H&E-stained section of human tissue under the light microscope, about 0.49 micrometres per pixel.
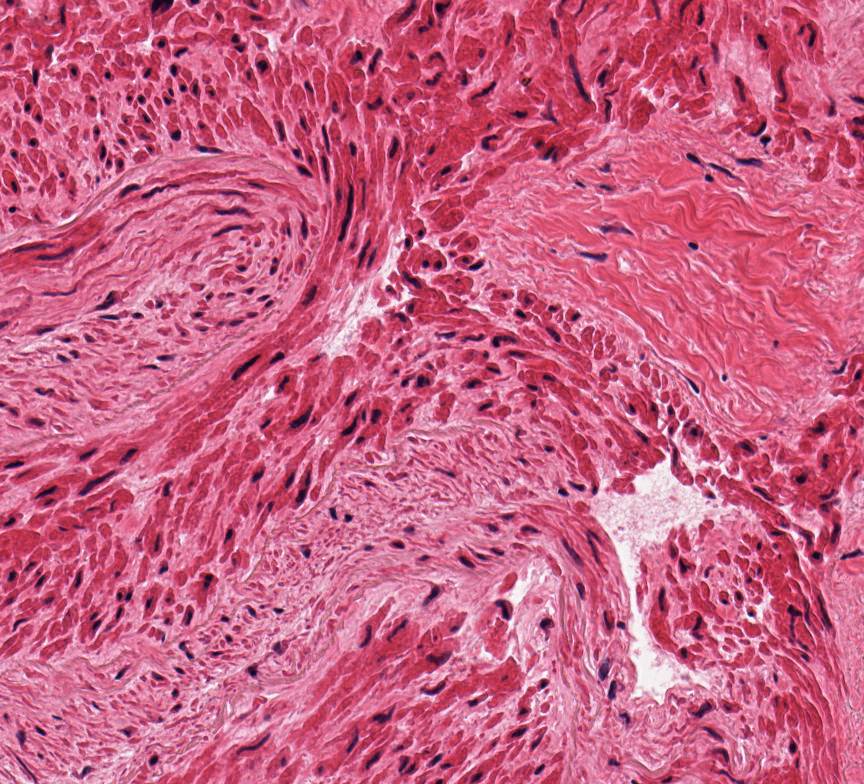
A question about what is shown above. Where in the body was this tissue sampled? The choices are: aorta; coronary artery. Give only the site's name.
coronary artery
